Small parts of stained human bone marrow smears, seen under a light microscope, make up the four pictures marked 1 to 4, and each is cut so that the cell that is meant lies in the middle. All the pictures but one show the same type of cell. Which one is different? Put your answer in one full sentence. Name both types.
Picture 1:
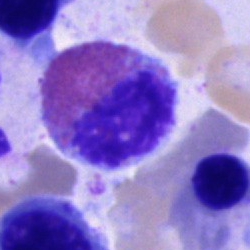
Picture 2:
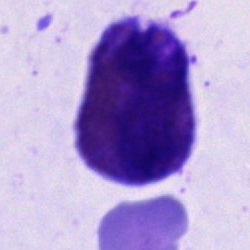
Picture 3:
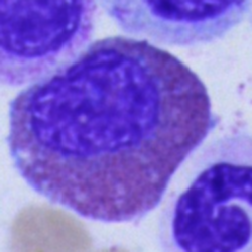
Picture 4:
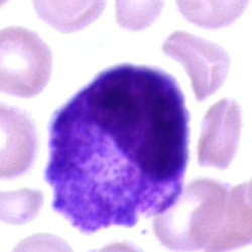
The different one is picture 4; it shows a promyelocyte, whereas all the others show eosinophils.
